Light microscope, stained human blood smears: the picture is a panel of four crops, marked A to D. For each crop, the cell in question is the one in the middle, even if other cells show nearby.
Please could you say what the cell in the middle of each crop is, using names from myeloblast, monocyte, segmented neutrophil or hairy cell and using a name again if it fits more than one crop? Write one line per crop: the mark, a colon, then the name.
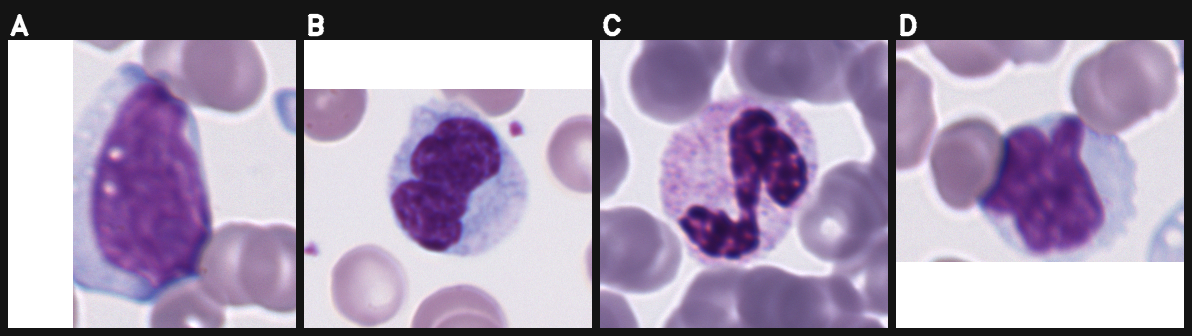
A: myeloblast
B: monocyte
C: segmented neutrophil
D: myeloblast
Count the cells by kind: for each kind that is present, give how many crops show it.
myeloblast: 2
monocyte: 1
segmented neutrophil: 1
